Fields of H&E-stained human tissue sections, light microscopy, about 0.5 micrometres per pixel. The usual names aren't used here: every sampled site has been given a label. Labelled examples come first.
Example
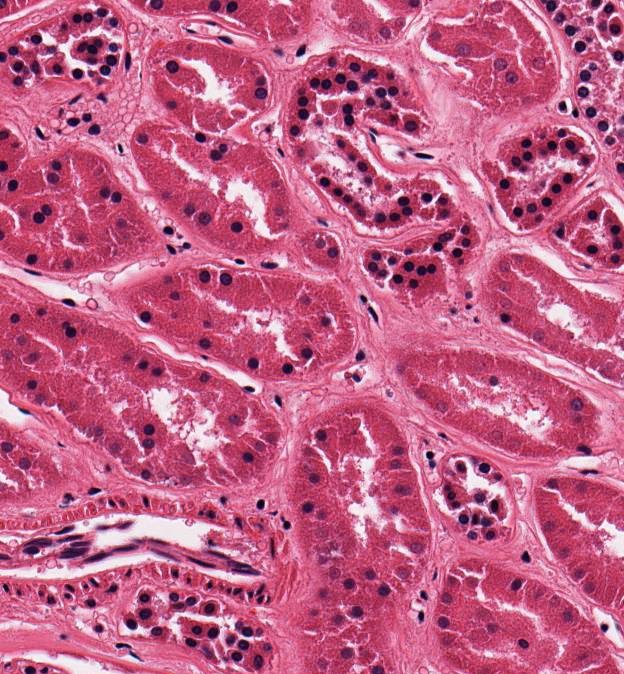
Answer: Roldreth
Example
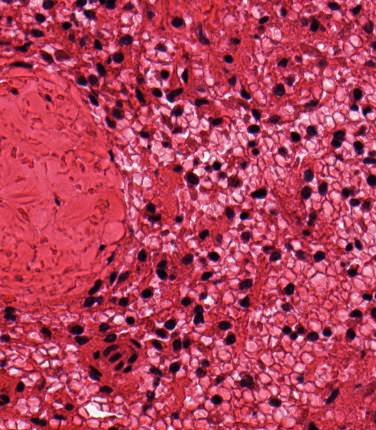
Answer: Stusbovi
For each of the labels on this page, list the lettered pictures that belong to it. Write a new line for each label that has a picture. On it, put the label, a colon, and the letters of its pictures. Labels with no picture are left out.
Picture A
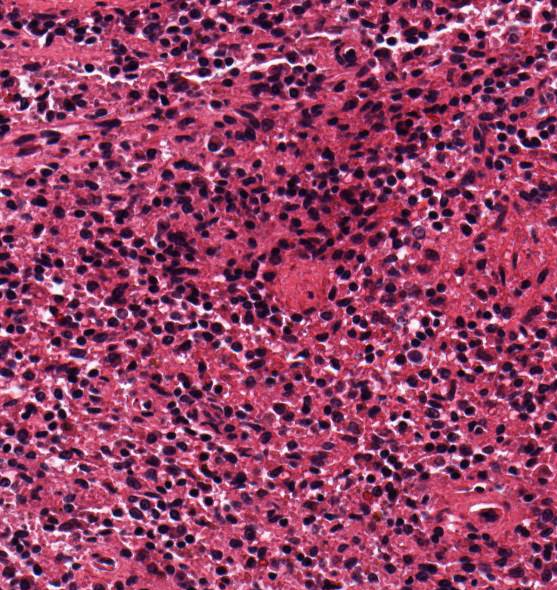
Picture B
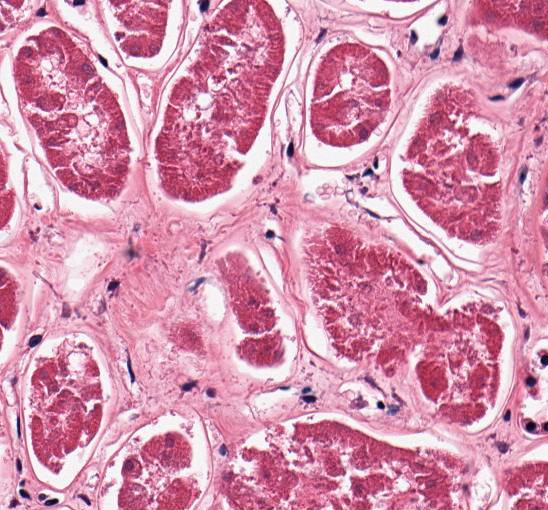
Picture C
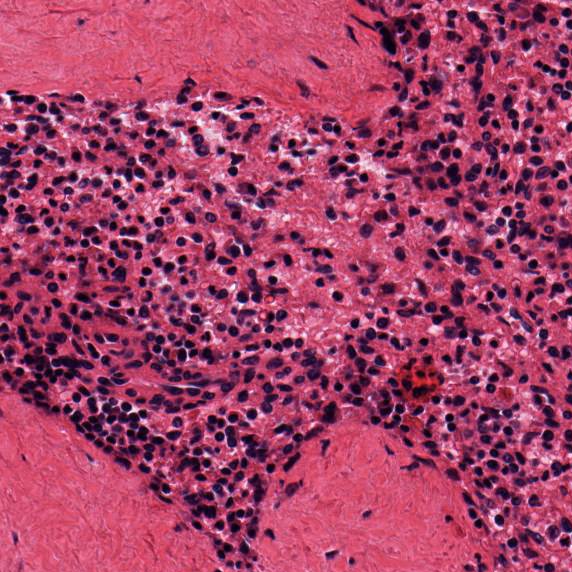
Roldreth: B
Stusbovi: A, C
